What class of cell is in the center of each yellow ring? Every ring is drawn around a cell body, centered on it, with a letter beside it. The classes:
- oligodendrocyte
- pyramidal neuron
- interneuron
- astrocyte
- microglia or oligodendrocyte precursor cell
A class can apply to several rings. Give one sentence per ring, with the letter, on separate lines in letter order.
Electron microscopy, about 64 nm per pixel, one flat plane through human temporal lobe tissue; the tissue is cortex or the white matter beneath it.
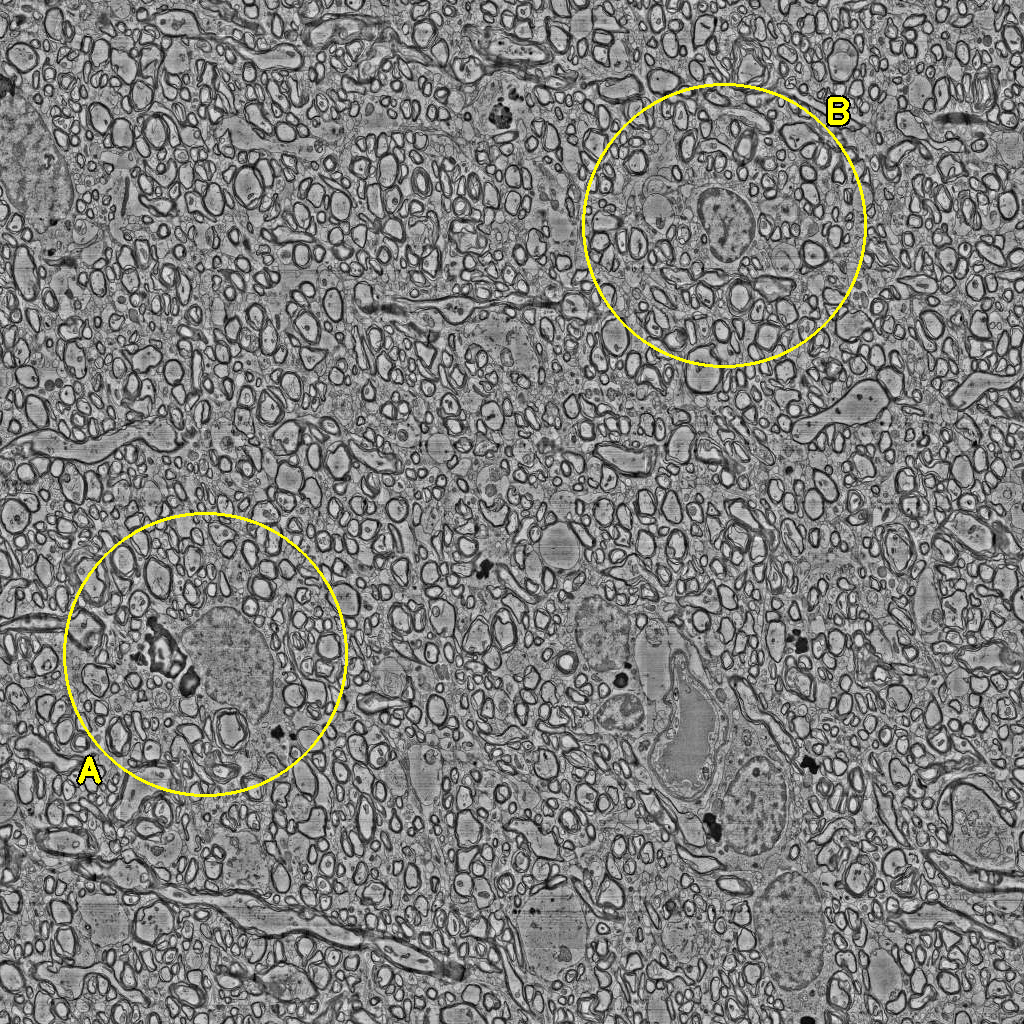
Ring A holds an oligodendrocyte at its center.
Ring B holds a microglial cell or oligodendrocyte precursor cell at its center.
